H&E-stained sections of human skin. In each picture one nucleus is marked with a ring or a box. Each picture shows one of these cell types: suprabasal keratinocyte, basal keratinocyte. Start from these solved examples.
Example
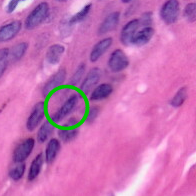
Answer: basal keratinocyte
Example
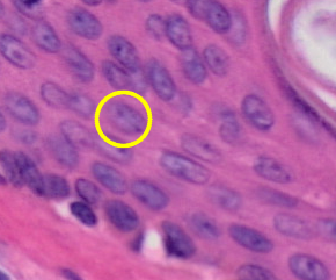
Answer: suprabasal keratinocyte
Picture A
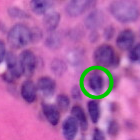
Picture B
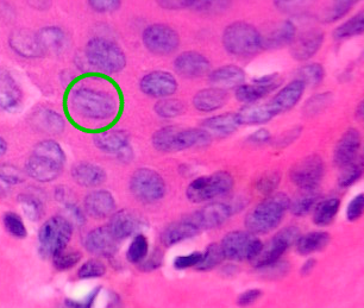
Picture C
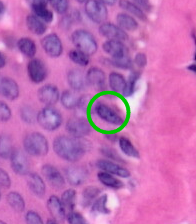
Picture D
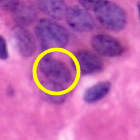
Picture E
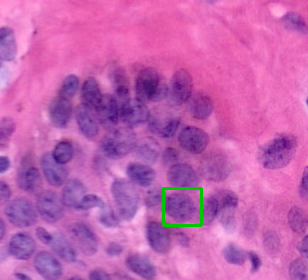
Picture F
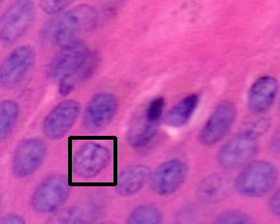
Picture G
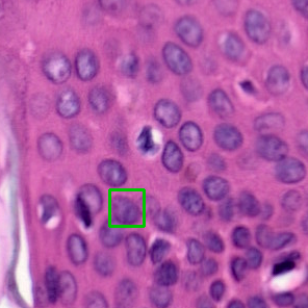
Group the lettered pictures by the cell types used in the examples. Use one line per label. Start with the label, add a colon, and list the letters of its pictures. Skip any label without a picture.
suprabasal keratinocyte: B, F, G
basal keratinocyte: A, C, D, E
